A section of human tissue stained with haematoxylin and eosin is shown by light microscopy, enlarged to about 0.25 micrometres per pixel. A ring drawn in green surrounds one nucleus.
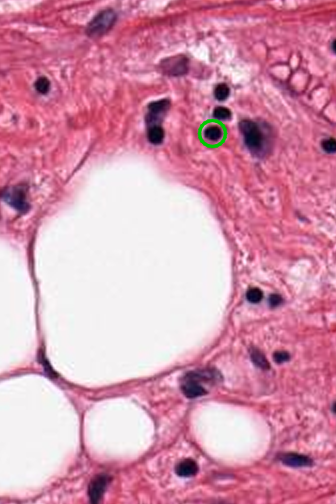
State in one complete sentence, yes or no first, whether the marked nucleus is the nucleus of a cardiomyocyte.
No, the marked nucleus sits in a supporting cell; a cardiomyocyte does not contain it.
